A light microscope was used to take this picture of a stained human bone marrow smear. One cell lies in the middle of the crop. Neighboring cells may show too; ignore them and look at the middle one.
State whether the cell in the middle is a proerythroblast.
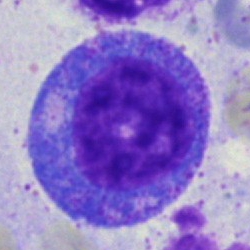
no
